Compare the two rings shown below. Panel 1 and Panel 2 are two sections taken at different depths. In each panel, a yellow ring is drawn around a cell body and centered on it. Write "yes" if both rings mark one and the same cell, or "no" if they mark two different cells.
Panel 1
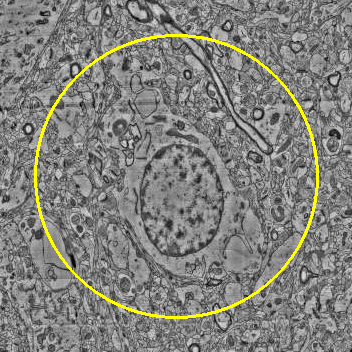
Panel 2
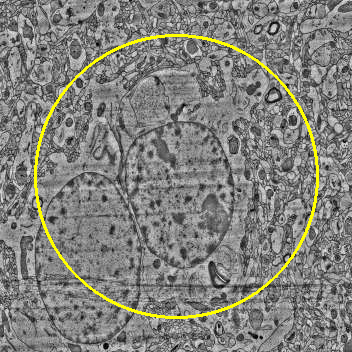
no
